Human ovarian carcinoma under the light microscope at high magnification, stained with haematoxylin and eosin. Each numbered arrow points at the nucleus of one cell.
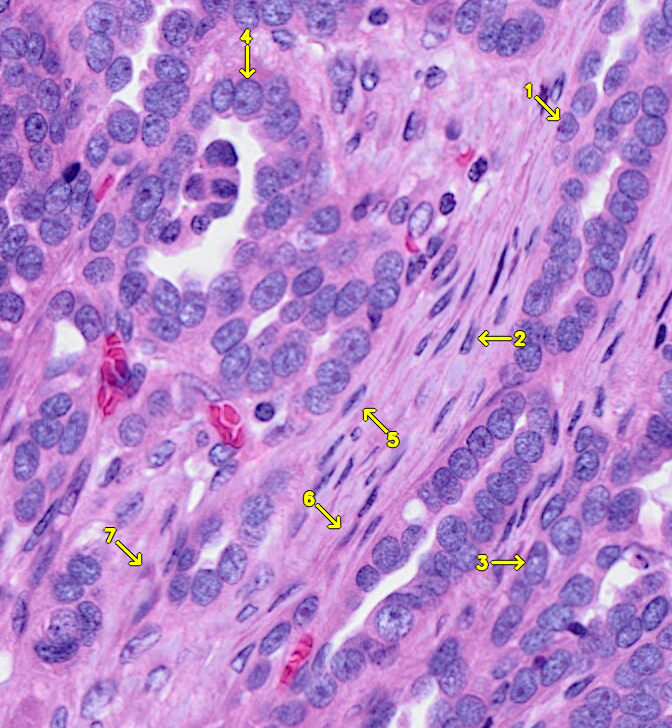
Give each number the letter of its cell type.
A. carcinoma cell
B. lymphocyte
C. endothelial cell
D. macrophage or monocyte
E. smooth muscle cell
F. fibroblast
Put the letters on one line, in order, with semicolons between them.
A; F; A; A; F; F; F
